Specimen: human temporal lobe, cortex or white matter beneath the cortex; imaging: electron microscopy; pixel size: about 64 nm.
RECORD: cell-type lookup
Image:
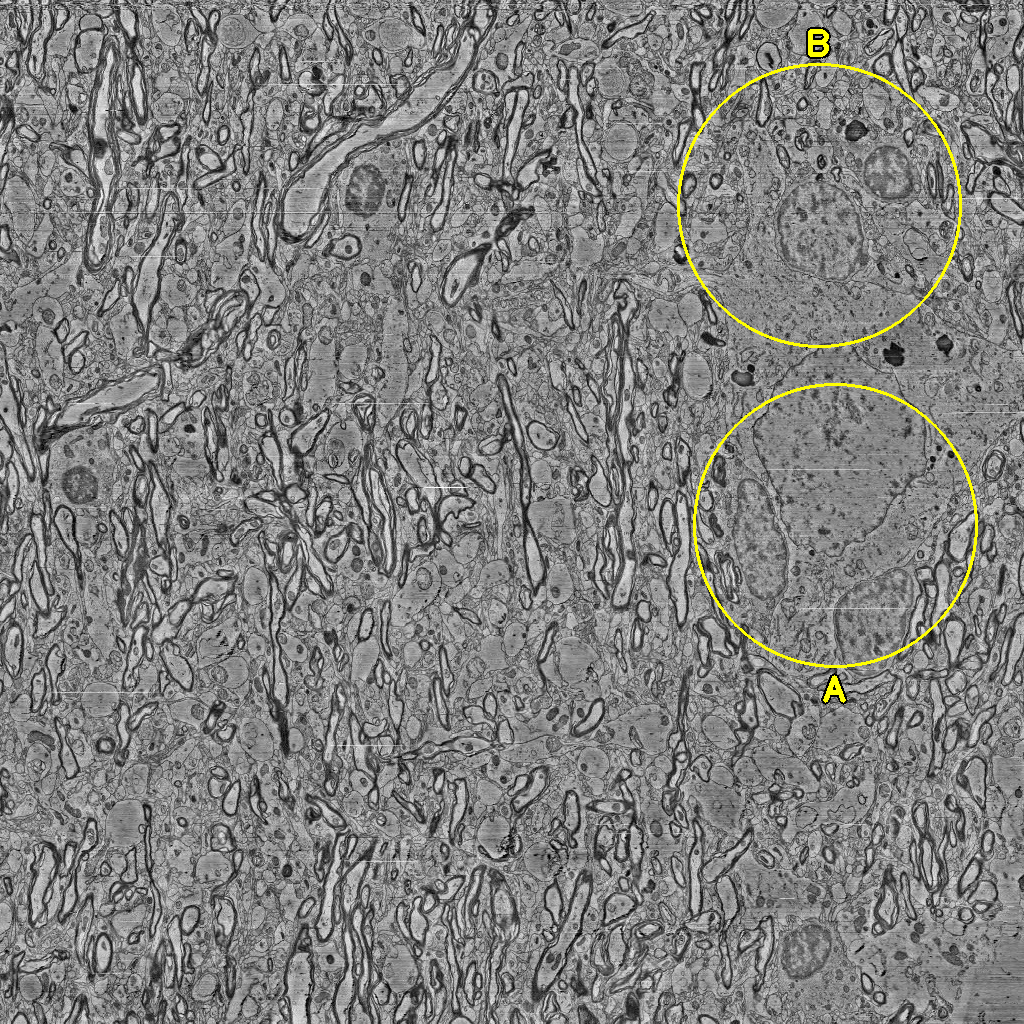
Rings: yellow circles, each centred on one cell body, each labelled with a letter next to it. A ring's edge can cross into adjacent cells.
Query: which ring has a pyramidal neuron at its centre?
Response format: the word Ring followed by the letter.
Ring A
